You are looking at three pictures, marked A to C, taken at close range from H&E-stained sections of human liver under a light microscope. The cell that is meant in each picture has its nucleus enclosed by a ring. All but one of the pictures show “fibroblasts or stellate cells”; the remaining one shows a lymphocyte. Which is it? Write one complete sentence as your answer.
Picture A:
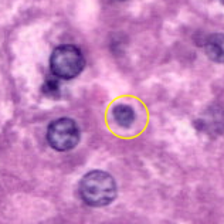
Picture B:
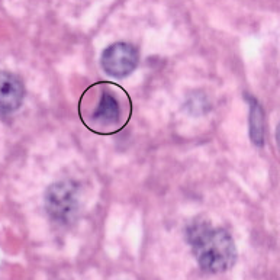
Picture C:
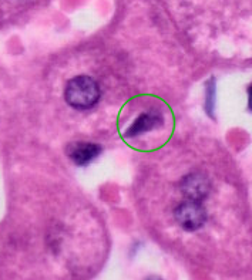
The cell in picture A is the lymphocyte.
